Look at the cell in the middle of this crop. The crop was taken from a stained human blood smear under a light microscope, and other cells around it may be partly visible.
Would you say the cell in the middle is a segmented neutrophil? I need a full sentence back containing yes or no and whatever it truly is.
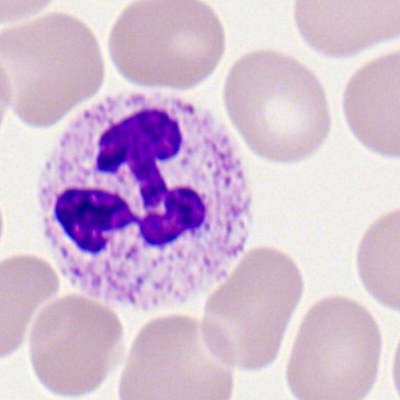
Yes, the cell that the crop is centred on is a segmented neutrophil.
